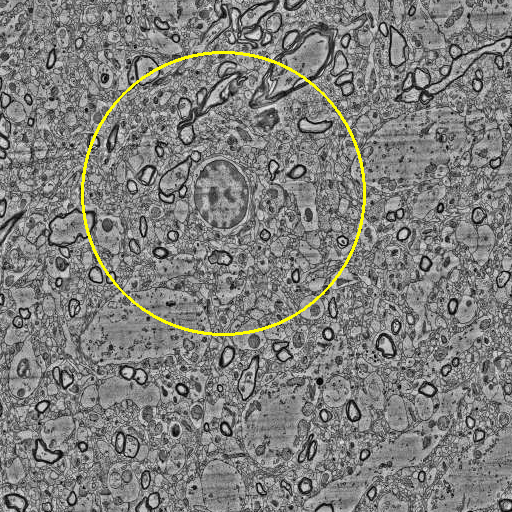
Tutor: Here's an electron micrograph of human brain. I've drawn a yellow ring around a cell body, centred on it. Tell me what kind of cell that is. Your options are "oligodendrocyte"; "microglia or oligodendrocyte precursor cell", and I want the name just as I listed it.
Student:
microglia or oligodendrocyte precursor cell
